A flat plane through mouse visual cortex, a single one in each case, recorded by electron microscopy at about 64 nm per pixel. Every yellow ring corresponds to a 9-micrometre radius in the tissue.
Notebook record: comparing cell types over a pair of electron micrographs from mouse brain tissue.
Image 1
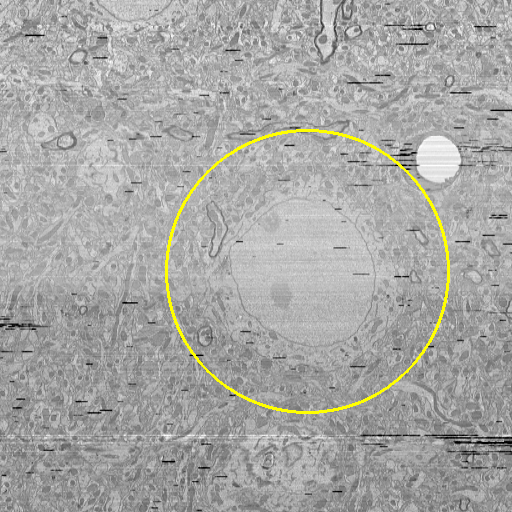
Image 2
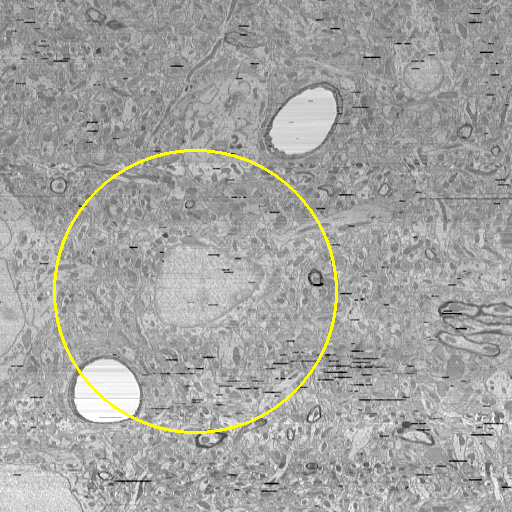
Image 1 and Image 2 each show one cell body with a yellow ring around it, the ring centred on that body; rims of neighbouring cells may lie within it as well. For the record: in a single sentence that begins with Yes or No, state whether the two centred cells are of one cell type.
No, two cell types are found among the centred cells of Image 1 and Image 2.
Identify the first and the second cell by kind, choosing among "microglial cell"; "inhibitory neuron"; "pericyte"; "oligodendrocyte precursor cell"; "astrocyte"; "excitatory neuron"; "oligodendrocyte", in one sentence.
The one in the first picture is an excitatory neuron, while the one in the second is an astrocyte.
